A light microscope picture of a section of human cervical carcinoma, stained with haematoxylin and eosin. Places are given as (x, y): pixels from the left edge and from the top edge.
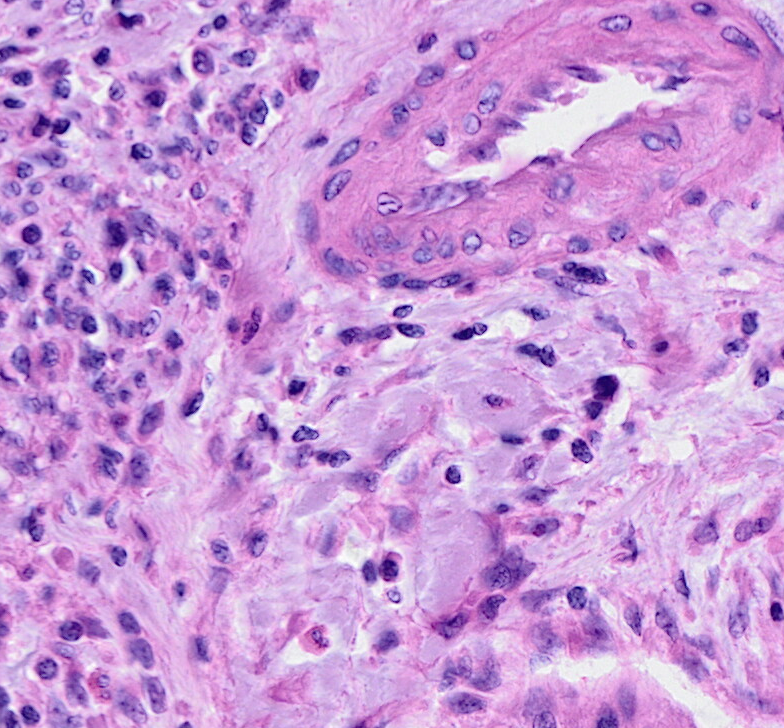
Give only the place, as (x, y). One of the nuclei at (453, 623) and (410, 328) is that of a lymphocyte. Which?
(410, 328)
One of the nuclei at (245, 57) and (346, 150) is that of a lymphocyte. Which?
(245, 57)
